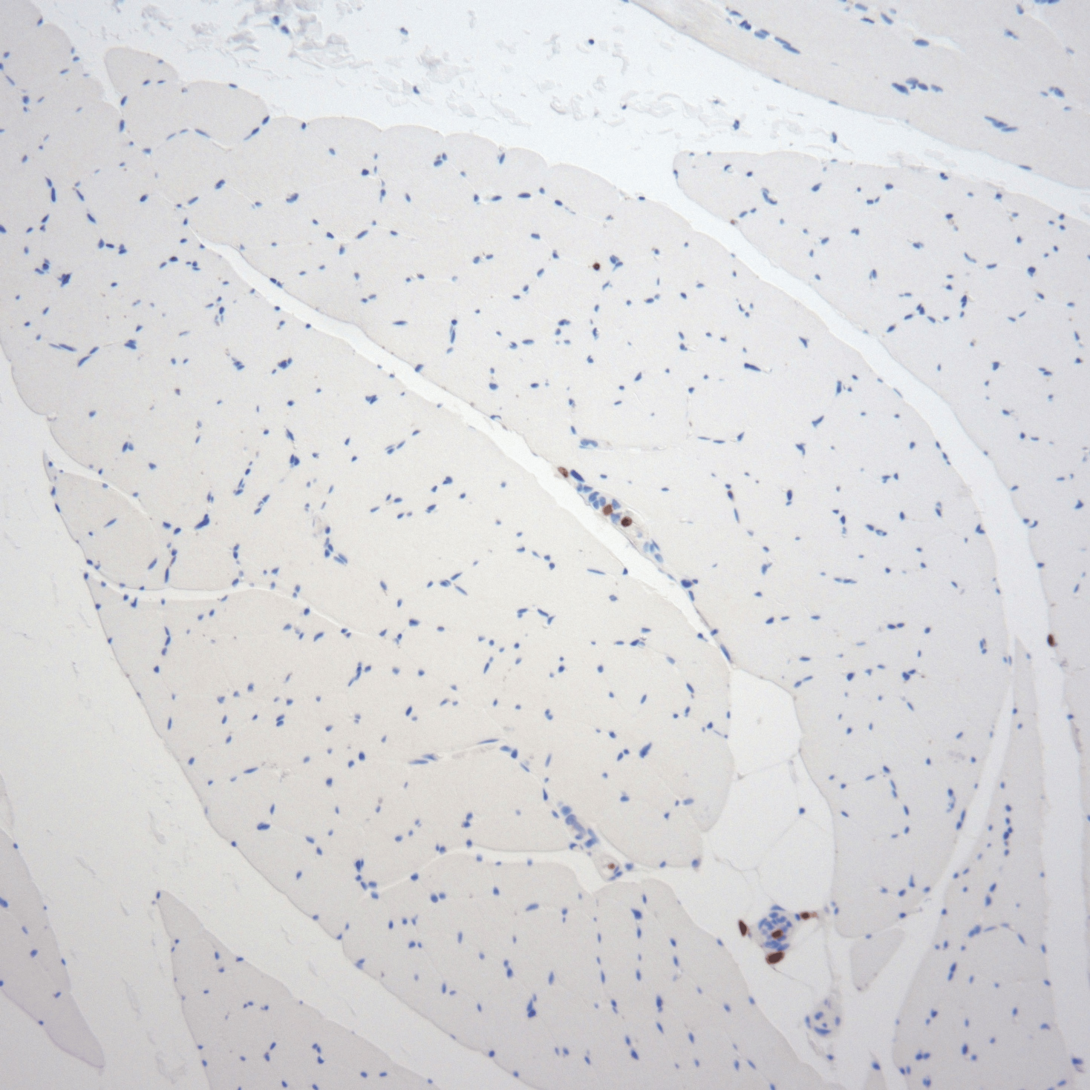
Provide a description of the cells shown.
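This is skeletal muscle cut across its fibres, with the fibres grouped into large fascicles. The fibres are pale tan polygons packed closely together, and their outlines are faint. Many small, elongated blue nuclei lie at the edges of the fibres and between them. Pale, nearly empty bands of connective tissue separate the fascicles. Within these bands there are small clusters of blue nuclei around small vessels. Only a few small, round nuclei there are stained dark brown, both in the middle of the field and near the lower centre.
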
